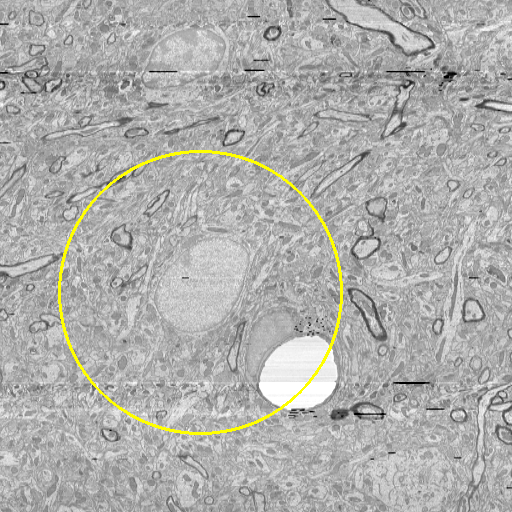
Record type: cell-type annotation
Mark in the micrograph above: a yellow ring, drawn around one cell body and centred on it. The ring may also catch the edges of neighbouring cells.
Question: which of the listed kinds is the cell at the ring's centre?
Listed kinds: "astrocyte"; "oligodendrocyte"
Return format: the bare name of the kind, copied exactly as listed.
astrocyte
